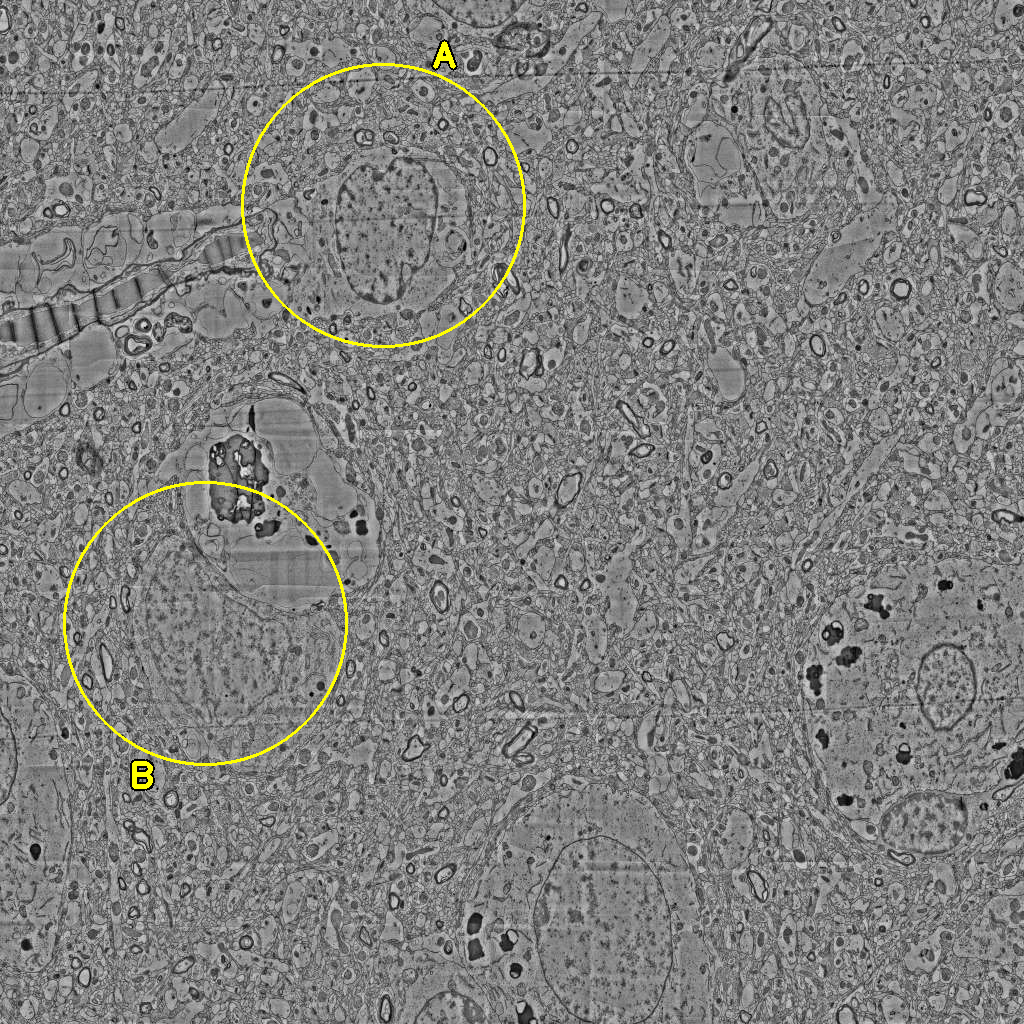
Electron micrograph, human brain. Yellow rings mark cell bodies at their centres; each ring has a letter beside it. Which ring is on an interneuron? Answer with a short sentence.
Ring B is centred on it.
